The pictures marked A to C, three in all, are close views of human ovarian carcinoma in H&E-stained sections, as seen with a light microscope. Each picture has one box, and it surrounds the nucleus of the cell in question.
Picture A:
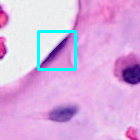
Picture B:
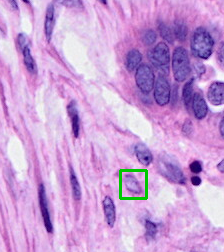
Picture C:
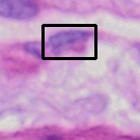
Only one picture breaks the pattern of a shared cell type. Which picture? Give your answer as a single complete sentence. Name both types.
Picture B differs, because its cell is a fibroblast and the rest are endothelial cells.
